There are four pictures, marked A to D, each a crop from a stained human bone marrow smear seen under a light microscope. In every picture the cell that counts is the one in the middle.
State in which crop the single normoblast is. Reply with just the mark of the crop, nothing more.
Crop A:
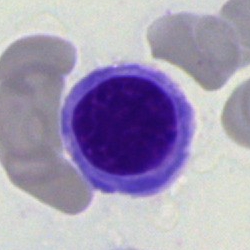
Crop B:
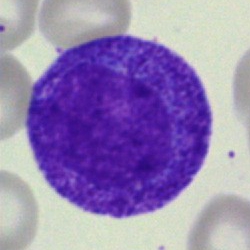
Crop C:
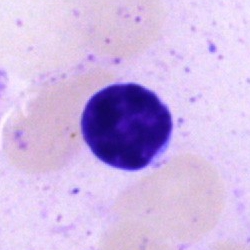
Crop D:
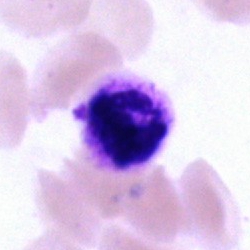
A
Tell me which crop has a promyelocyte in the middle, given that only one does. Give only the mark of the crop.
B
